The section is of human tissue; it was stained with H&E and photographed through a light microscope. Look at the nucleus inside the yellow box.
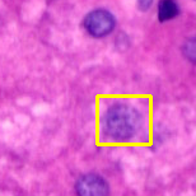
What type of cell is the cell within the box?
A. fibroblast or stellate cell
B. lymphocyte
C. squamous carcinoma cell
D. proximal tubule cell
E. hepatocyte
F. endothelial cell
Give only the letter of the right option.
E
